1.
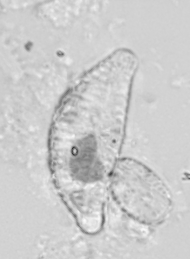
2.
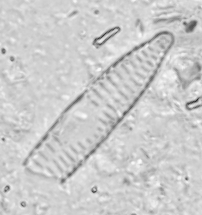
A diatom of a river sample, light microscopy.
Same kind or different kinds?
Different: the first is Encyonema, the second Fragilaria.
